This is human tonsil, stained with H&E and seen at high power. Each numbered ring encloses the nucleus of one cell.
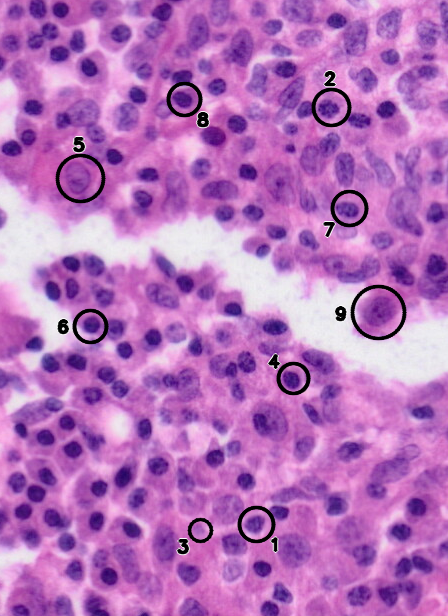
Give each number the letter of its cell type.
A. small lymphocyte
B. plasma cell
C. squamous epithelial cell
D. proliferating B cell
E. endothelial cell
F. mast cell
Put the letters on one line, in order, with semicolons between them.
C; B; C; B; C; B; B; B; C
